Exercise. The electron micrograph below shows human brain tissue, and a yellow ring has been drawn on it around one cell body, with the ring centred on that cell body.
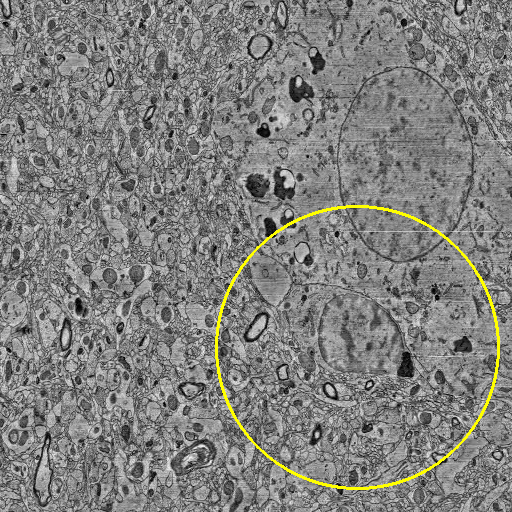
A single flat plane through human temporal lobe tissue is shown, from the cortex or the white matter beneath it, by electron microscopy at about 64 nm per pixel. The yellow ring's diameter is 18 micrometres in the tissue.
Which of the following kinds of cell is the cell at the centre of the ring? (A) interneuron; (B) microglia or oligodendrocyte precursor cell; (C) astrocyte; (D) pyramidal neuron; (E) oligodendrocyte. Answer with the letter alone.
E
